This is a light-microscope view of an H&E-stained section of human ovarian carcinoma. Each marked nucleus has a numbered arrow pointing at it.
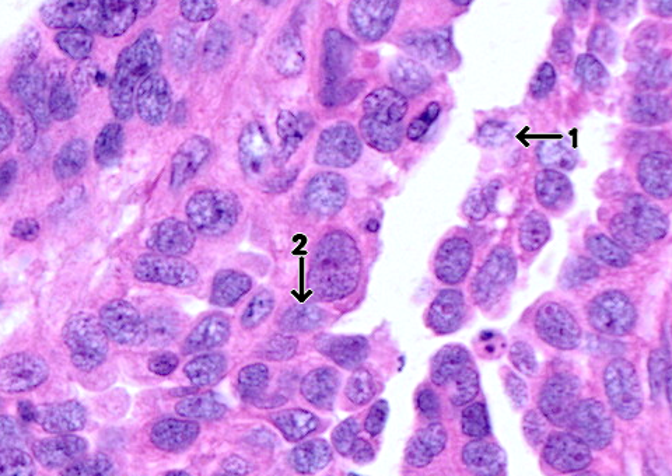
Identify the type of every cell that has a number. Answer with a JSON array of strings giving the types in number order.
["macrophage or monocyte", "carcinoma cell"]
